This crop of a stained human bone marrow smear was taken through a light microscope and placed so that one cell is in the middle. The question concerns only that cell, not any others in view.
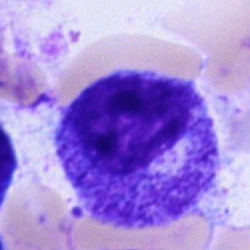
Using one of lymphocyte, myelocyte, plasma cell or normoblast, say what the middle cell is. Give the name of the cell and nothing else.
myelocyte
